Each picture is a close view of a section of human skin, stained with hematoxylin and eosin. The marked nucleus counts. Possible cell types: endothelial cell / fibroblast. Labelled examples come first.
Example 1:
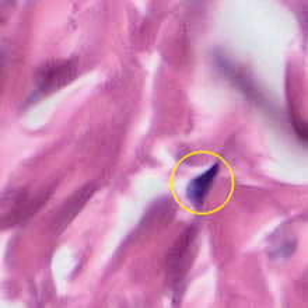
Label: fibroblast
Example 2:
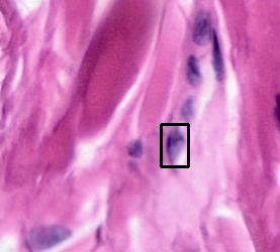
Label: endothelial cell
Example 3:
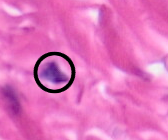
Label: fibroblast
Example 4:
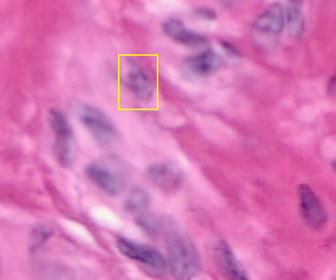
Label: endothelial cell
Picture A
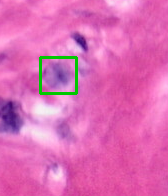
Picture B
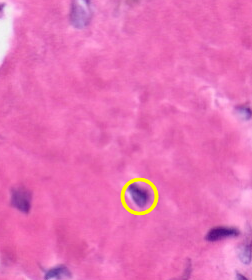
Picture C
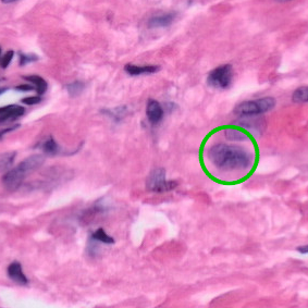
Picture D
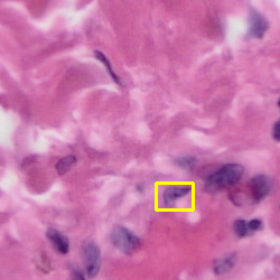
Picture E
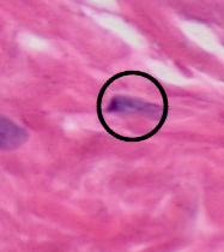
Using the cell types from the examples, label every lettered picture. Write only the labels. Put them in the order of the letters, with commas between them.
endothelial cell, fibroblast, endothelial cell, endothelial cell, fibroblast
